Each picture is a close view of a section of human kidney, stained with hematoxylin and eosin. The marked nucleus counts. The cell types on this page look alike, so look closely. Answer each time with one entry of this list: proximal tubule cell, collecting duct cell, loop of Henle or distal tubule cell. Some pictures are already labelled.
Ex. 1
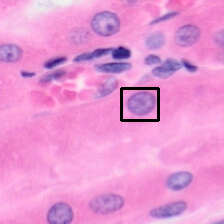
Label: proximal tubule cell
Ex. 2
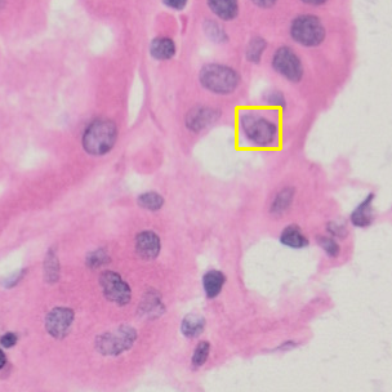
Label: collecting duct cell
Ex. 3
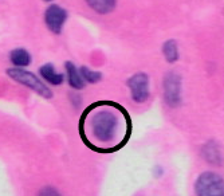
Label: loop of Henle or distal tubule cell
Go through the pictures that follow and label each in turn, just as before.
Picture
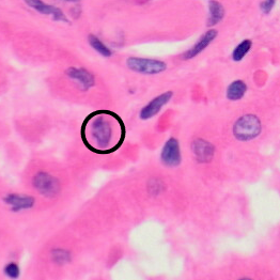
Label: proximal tubule cell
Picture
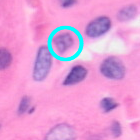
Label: collecting duct cell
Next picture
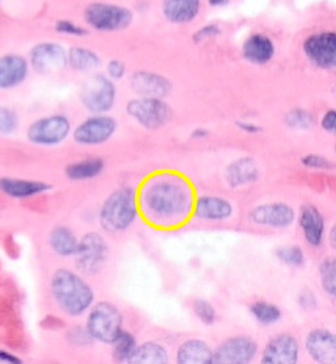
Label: collecting duct cell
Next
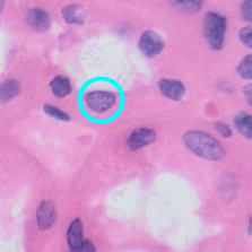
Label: loop of Henle or distal tubule cell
